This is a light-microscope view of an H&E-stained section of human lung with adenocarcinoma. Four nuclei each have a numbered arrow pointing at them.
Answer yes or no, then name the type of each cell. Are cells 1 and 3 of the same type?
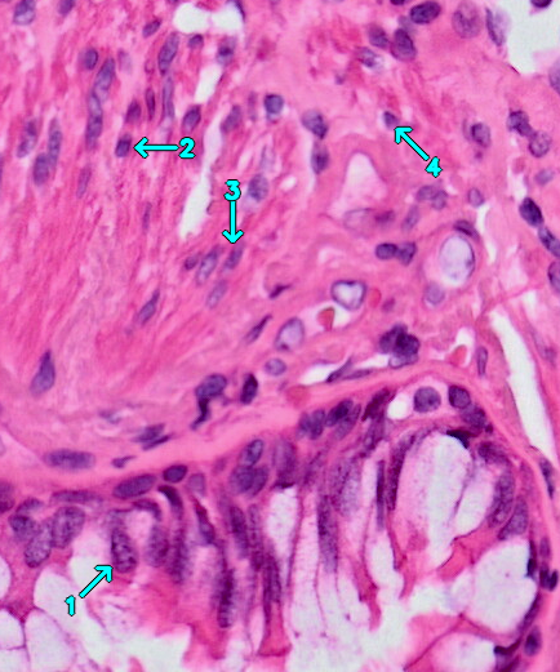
No, just to clarify, cell 1 is a ciliated epithelial cell and cell 3 is a smooth muscle cell or pericyte.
